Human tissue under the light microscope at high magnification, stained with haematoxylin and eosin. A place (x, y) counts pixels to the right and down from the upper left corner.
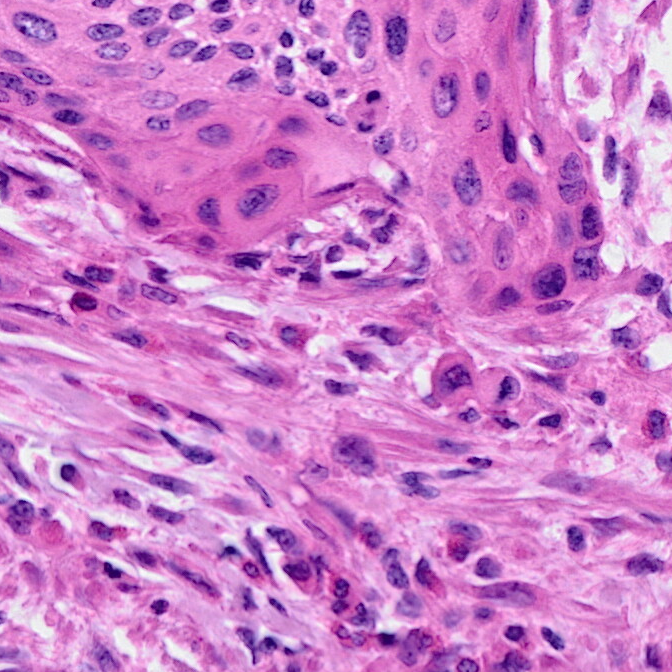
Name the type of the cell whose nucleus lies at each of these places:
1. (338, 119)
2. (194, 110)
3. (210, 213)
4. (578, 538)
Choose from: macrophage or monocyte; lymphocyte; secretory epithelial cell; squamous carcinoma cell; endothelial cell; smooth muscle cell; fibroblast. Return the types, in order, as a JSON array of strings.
["squamous carcinoma cell", "squamous carcinoma cell", "squamous carcinoma cell", "lymphocyte"]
